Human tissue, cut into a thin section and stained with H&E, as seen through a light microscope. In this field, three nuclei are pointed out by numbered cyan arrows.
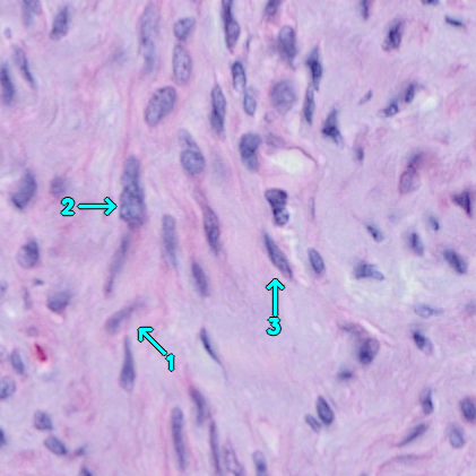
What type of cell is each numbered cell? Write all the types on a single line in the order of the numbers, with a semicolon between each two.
smooth muscle cell; smooth muscle cell; fibroblast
